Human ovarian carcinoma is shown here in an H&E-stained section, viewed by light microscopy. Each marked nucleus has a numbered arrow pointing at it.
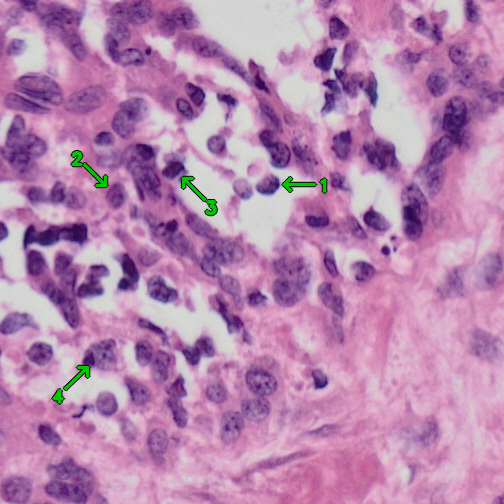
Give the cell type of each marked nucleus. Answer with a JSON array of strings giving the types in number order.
["carcinoma cell", "carcinoma cell", "carcinoma cell", "macrophage or monocyte"]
